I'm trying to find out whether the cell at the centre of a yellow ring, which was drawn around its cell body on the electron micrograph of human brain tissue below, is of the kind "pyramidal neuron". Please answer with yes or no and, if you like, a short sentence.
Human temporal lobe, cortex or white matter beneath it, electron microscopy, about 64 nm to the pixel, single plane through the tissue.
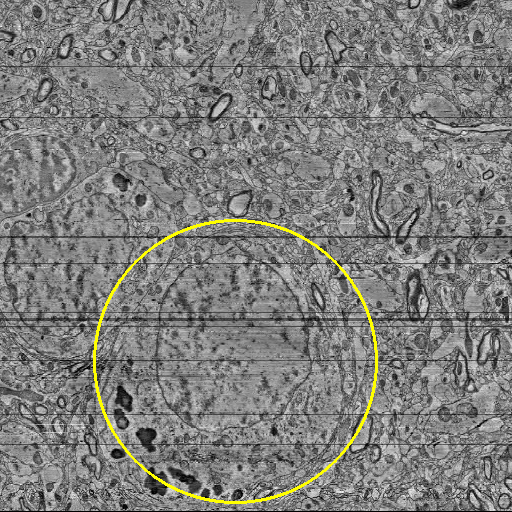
Yes, that cell is of the given kind.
